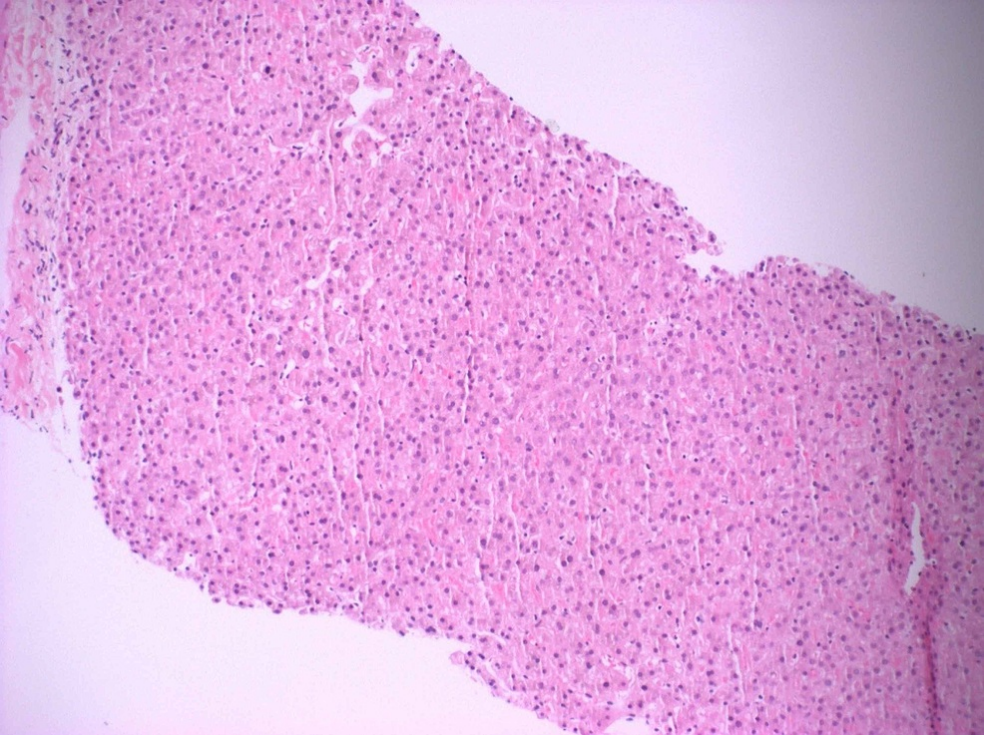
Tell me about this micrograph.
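This is a core of liver parenchyma made up almost entirely of hepatocytes, arranged in cords or plates that run roughly in parallel across the core. The hepatocytes are polygonal, with abundant pink cytoplasm and round, dark purple nuclei. Thin pale clefts between the plates are the sinusoids. Small, darker, more elongated nuclei lie along these sinusoids, belonging to the cells that line them. At the left edge there is a looser strip with more crowded, spindle-shaped nuclei. Across the core, there are no obvious fat droplets, no areas of cell loss and no dense clusters of inflammatory cells.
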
